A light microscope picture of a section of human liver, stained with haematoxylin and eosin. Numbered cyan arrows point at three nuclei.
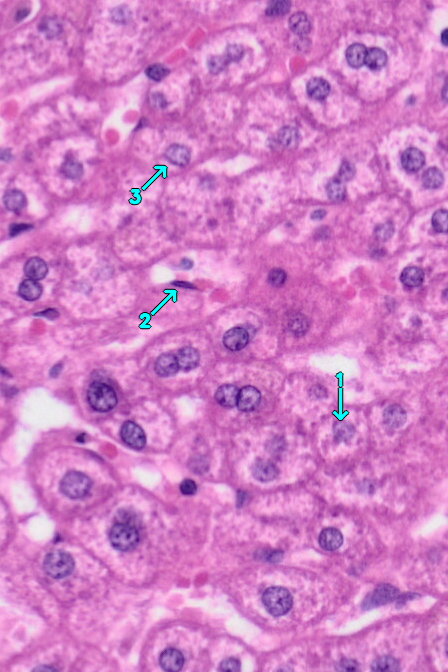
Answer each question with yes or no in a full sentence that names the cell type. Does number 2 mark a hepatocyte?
No, calling cell 2 a hepatocyte is a mistake; it is an endothelial cell.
